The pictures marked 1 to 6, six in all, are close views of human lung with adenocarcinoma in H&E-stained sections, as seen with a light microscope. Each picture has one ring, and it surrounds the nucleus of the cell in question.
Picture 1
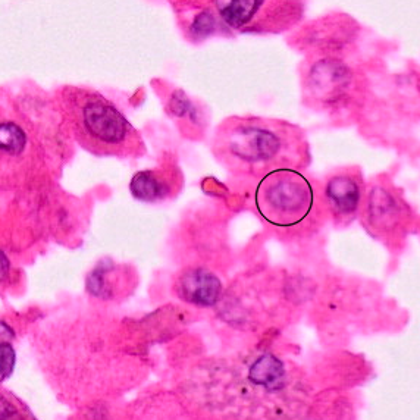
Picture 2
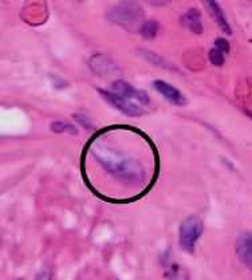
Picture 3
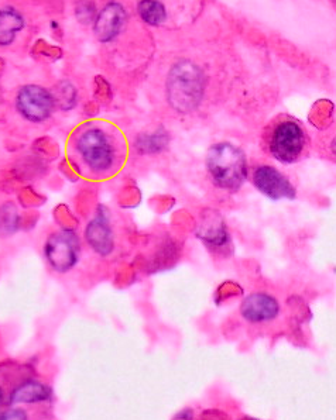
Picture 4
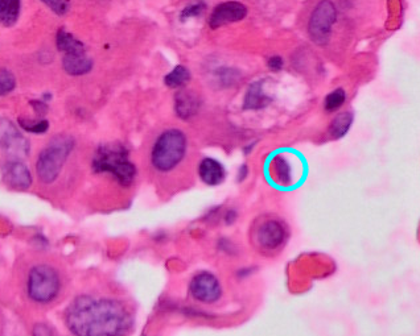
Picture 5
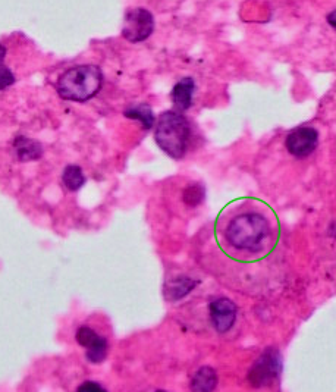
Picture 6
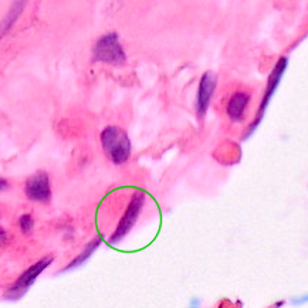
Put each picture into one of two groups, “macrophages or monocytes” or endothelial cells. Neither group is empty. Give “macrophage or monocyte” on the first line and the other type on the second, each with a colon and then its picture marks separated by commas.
macrophage or monocyte: 1, 3, 5
endothelial cell: 2, 4, 6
